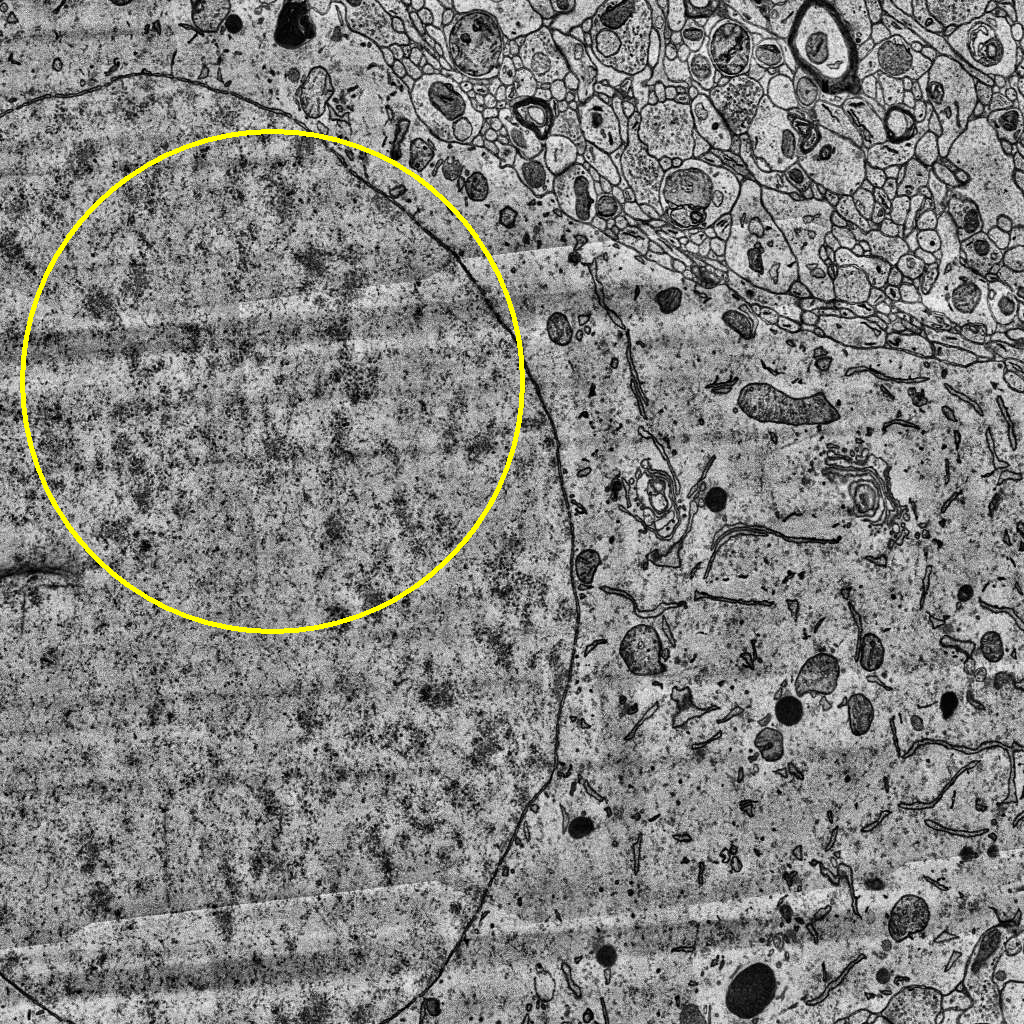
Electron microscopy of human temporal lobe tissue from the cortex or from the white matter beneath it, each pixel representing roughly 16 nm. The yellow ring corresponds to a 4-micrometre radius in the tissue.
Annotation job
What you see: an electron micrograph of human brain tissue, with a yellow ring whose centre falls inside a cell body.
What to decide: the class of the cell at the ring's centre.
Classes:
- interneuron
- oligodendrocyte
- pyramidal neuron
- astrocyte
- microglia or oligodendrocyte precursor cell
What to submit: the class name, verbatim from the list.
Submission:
pyramidal neuron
